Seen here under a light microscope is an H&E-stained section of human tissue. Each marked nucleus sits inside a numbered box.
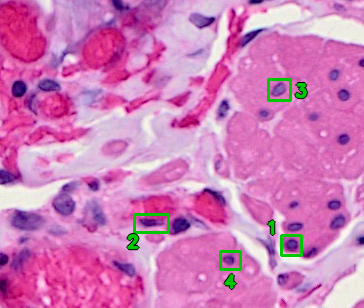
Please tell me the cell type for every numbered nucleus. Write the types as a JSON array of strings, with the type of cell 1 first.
["smooth muscle cell", "endothelial cell", "smooth muscle cell", "smooth muscle cell"]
